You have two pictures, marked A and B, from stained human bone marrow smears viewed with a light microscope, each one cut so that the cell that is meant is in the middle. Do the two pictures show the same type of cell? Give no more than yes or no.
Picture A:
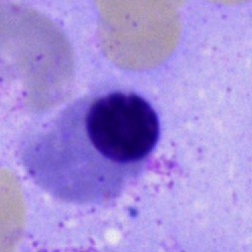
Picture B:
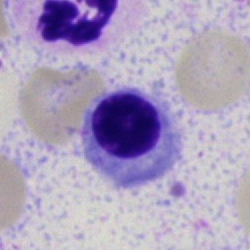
yes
